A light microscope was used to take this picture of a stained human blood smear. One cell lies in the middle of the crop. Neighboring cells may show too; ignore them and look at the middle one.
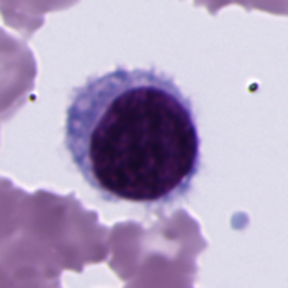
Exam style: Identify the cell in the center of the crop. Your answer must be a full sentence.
The cell shown in the center of this light-microscope crop is a hairy cell.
